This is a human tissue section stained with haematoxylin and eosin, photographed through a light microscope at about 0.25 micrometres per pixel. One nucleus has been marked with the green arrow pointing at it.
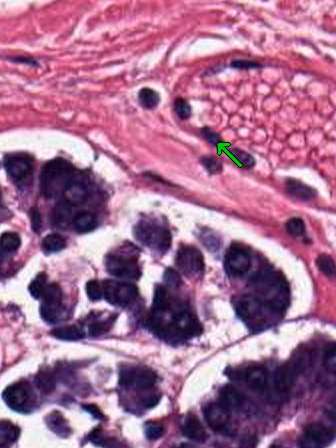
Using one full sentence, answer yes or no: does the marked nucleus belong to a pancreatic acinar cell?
No, instead of a pancreatic acinar cell, a supporting cell is what the marked nucleus belongs to.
